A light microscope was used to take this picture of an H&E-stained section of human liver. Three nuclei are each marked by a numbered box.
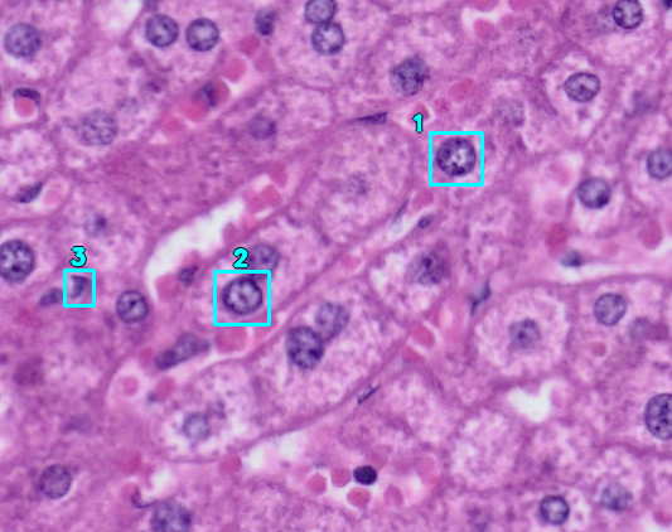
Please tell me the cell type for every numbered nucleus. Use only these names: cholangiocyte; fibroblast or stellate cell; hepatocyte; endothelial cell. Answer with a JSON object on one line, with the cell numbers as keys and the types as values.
{"1": "hepatocyte", "2": "hepatocyte", "3": "endothelial cell"}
